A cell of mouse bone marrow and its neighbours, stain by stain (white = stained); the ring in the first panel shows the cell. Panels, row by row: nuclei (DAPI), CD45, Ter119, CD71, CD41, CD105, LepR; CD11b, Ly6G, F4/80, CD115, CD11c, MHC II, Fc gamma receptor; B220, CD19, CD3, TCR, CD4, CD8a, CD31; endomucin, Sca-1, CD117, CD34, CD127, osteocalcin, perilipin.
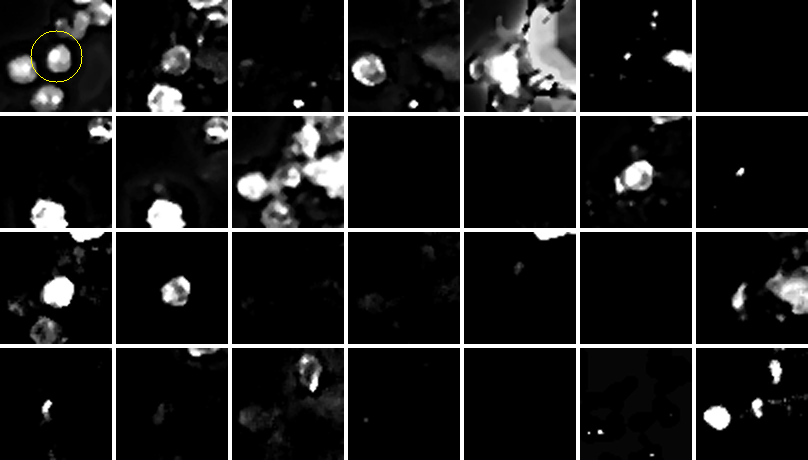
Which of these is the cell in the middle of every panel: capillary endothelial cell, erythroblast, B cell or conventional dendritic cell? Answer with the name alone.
B cell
